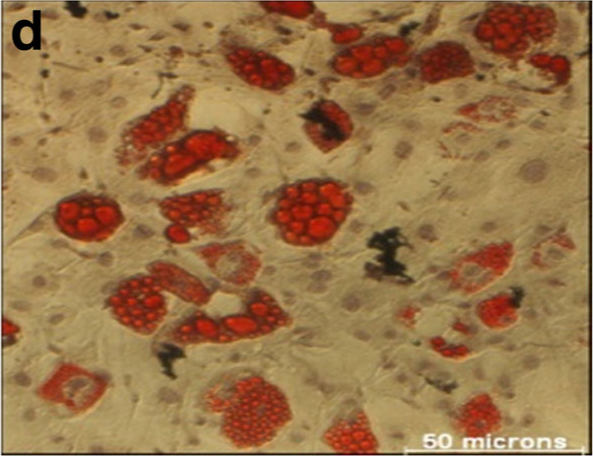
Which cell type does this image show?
Adipocytes.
